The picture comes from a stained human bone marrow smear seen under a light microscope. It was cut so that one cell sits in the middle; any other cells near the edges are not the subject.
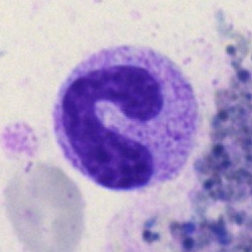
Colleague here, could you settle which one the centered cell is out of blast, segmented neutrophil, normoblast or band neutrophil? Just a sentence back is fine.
At the middle of the frame sits a band neutrophil.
